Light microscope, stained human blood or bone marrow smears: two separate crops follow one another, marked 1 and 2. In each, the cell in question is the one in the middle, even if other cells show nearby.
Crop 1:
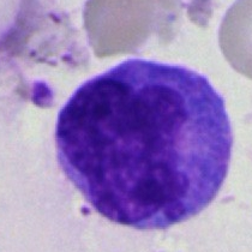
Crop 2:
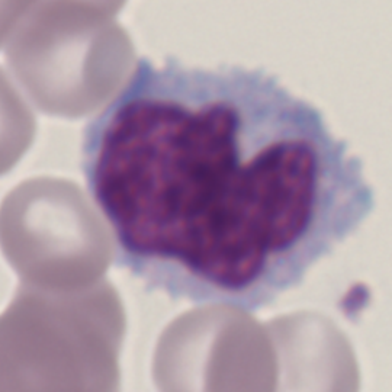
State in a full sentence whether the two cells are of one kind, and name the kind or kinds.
Yes, these two crops both show monocytes.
